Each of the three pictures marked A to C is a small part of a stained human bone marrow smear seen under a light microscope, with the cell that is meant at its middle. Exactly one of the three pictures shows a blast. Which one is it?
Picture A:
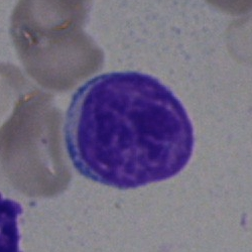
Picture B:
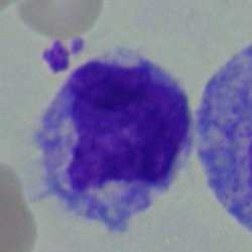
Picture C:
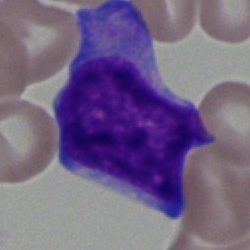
C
